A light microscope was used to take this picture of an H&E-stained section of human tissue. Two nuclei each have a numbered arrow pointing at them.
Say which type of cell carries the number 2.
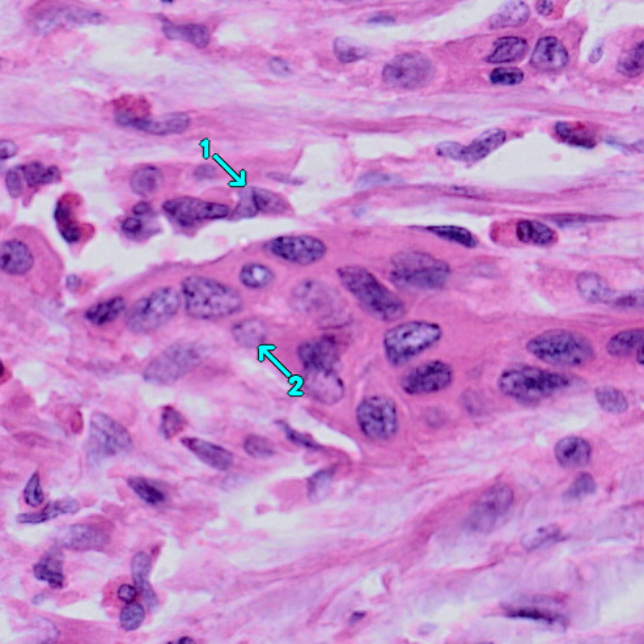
squamous carcinoma cell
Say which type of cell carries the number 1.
macrophage or monocyte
